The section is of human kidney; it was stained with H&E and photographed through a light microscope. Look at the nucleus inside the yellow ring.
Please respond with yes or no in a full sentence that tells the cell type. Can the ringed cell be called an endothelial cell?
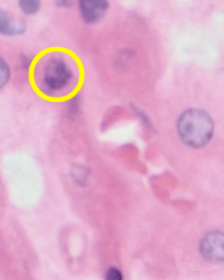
No, mate, the ringed cell is a proximal tubule cell rather than an endothelial cell.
